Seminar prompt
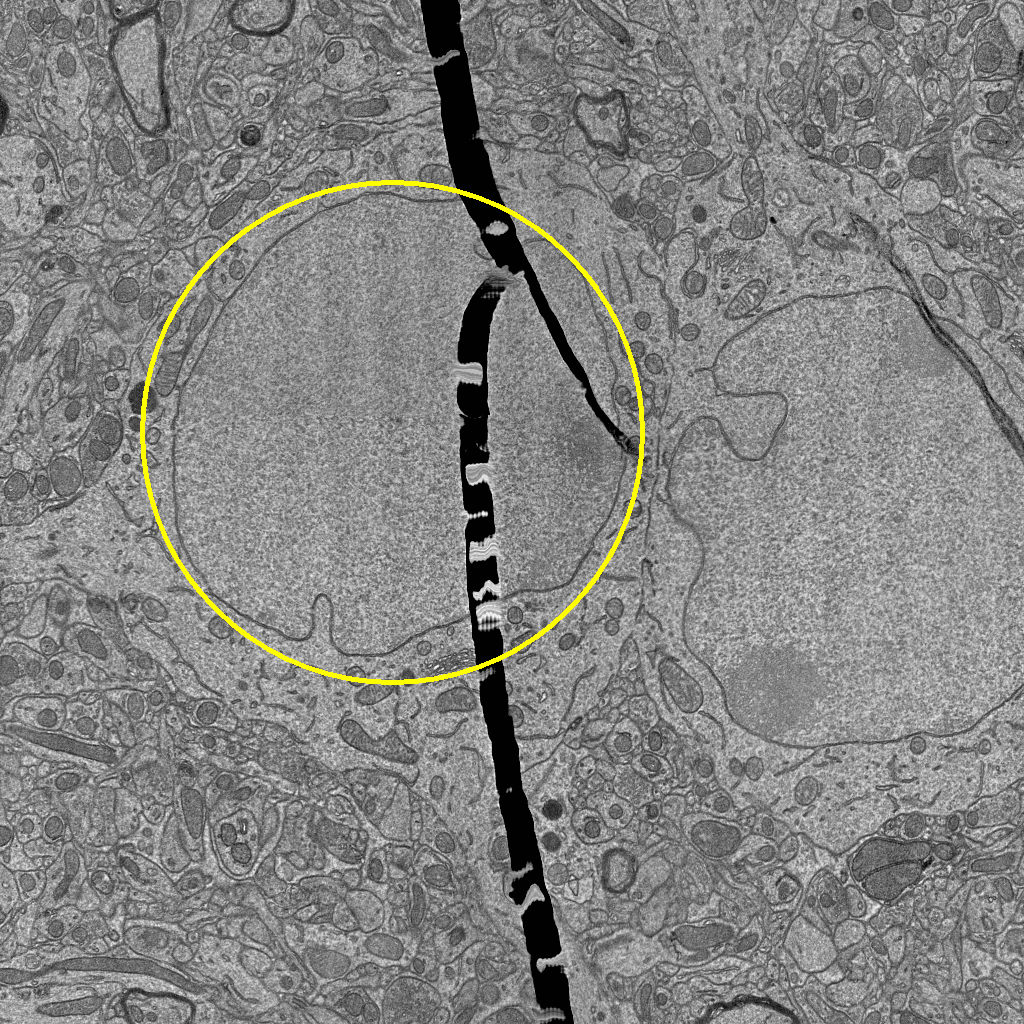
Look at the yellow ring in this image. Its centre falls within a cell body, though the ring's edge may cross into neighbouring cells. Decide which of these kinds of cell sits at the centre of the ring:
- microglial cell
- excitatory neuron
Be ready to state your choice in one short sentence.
The kind of cell at the ring's centre is an excitatory neuron.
